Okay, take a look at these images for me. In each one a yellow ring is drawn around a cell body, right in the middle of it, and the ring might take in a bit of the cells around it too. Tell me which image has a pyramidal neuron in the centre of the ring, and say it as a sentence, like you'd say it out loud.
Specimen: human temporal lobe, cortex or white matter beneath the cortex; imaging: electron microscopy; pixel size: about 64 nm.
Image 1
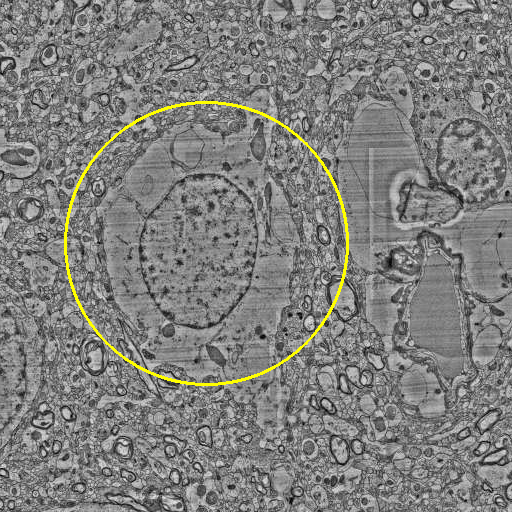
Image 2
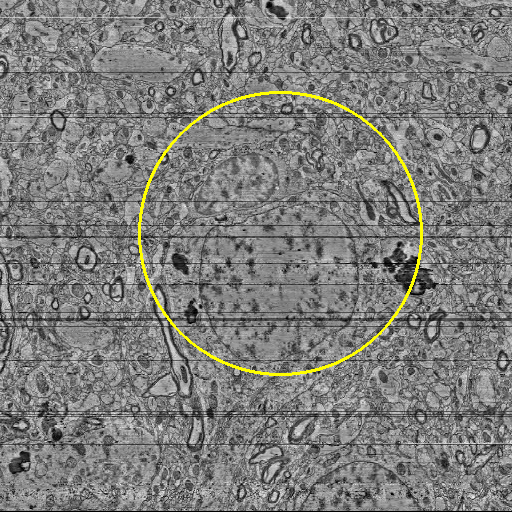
Image 2 is the one with it in the centre of the ring.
